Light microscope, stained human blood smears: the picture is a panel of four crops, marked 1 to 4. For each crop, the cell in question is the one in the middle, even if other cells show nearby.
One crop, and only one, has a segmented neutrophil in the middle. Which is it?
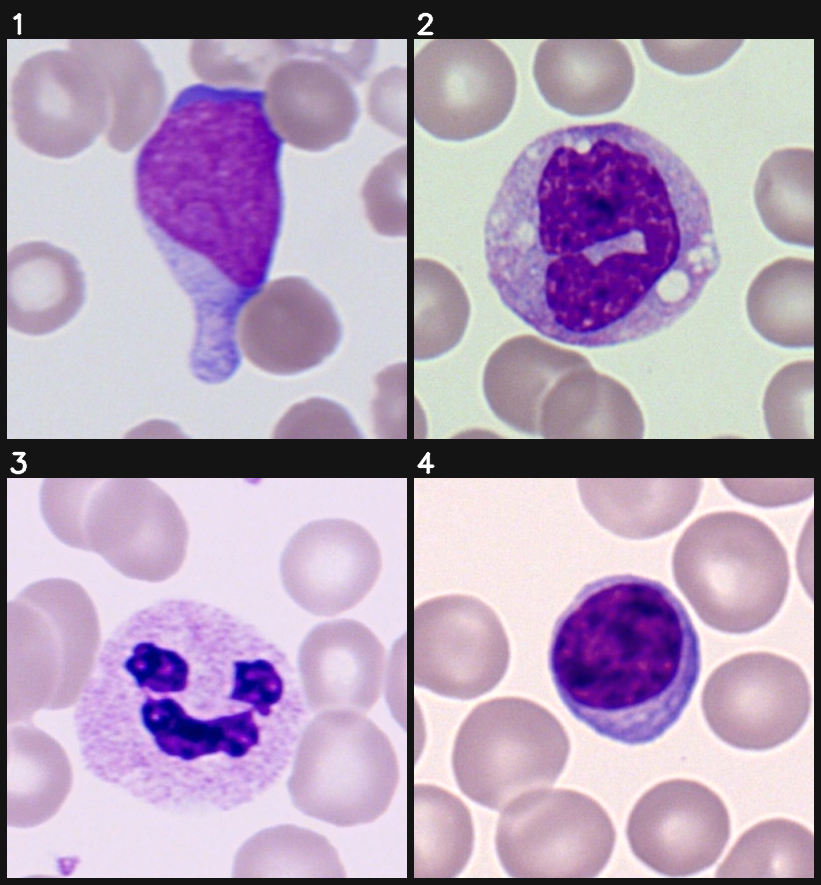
3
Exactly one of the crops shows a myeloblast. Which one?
1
